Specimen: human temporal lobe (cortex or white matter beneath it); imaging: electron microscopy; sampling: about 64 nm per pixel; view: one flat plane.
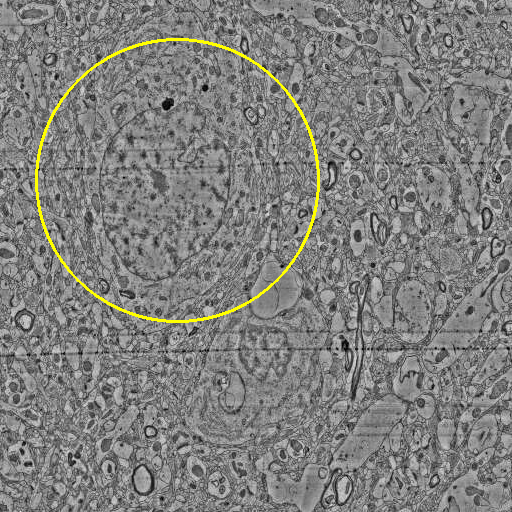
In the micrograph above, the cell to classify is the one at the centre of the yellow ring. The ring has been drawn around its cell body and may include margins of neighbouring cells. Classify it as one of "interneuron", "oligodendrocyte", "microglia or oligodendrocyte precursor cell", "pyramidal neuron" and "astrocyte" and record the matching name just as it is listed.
interneuron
